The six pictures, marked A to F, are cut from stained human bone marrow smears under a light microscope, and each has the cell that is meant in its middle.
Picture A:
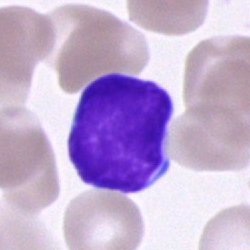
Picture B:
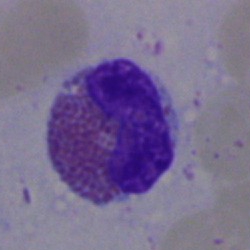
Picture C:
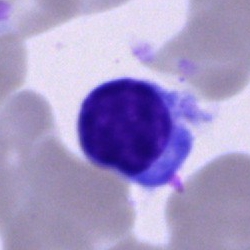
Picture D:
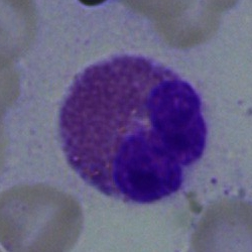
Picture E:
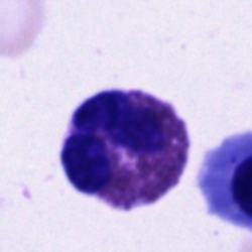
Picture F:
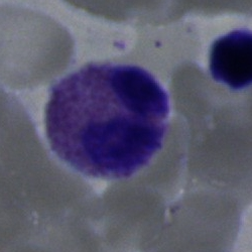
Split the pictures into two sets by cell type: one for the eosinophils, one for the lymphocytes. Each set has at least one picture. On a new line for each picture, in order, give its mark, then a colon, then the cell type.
A: lymphocyte
B: eosinophil
C: lymphocyte
D: eosinophil
E: eosinophil
F: eosinophil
